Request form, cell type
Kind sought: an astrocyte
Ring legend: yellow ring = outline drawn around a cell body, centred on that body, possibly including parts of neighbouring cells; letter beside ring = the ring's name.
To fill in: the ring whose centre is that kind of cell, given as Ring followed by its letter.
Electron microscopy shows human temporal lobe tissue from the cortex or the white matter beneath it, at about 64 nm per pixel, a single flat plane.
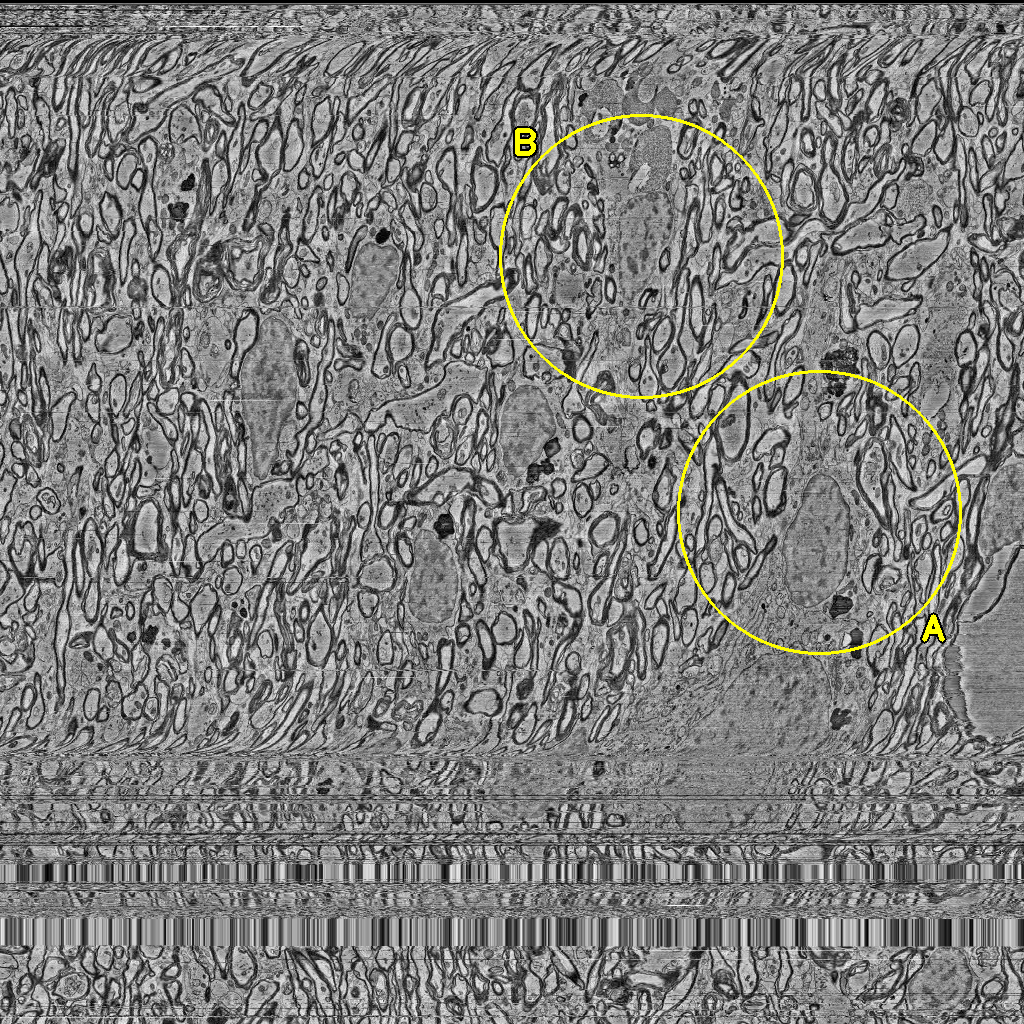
Ring B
